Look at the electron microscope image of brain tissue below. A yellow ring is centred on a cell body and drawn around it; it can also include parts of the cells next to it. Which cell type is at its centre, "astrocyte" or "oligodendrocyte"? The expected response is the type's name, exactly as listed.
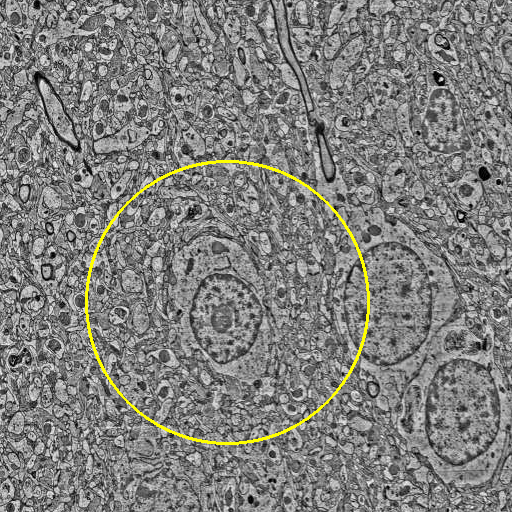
astrocyte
